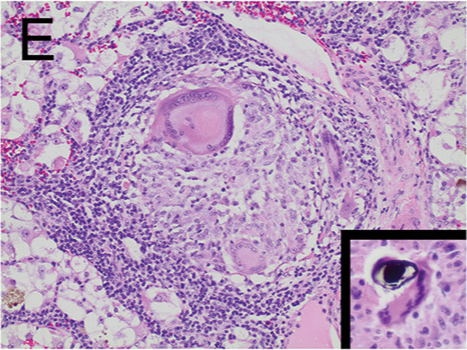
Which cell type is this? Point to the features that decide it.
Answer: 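Multinucleated giant cells. A band of small dark lymphoid cells surrounds the nodule.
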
